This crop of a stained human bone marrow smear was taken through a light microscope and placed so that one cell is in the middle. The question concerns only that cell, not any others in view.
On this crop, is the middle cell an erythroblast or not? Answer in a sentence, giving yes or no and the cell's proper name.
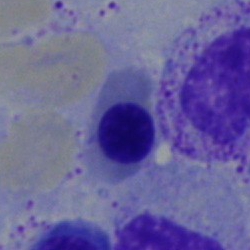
Yes, at the centre of the crop lies an erythroblast.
